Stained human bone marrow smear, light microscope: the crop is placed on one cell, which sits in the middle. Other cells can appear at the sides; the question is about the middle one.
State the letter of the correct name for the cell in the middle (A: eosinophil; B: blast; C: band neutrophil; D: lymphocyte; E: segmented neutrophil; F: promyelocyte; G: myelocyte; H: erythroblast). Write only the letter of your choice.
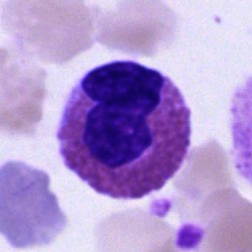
A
